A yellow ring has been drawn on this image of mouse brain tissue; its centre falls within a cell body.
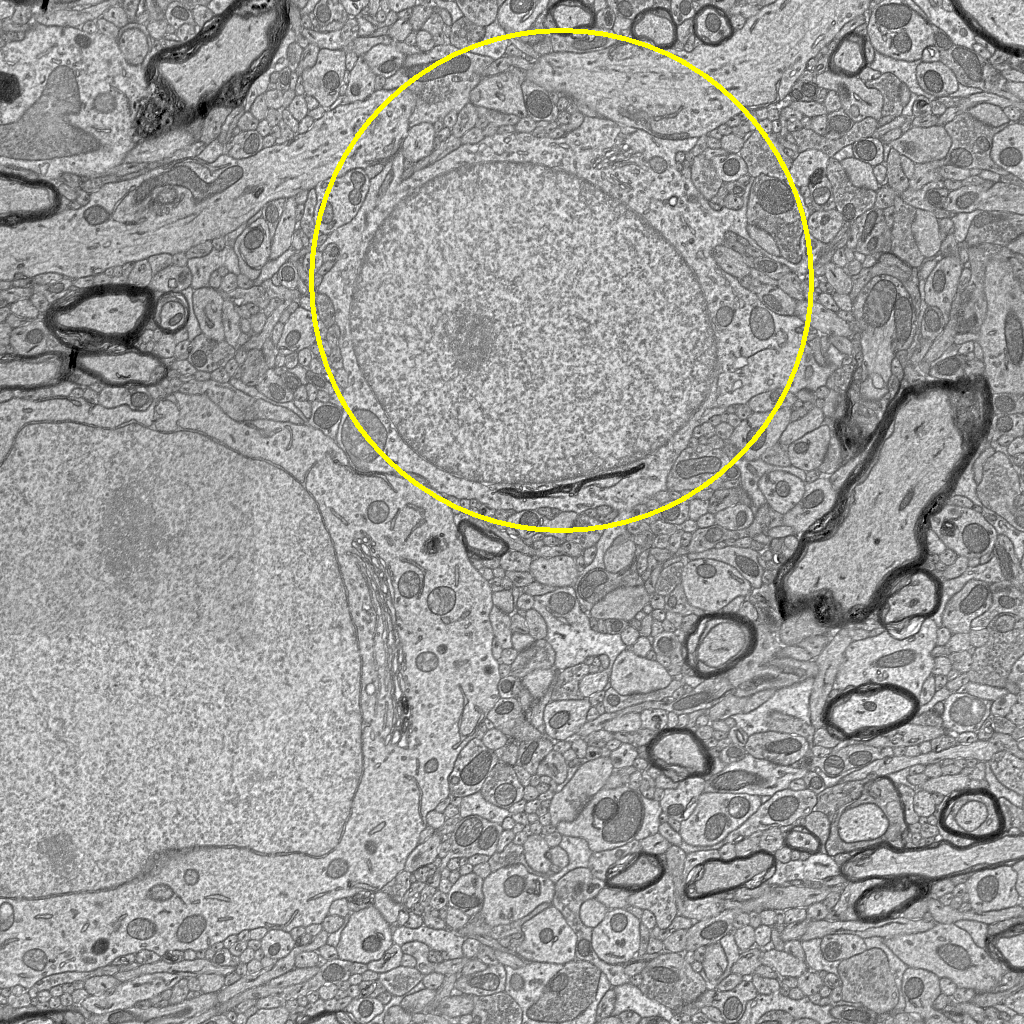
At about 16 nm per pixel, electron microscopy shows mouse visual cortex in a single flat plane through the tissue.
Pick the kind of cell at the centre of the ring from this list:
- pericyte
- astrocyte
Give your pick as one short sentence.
The centre of the ring holds an astrocyte.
